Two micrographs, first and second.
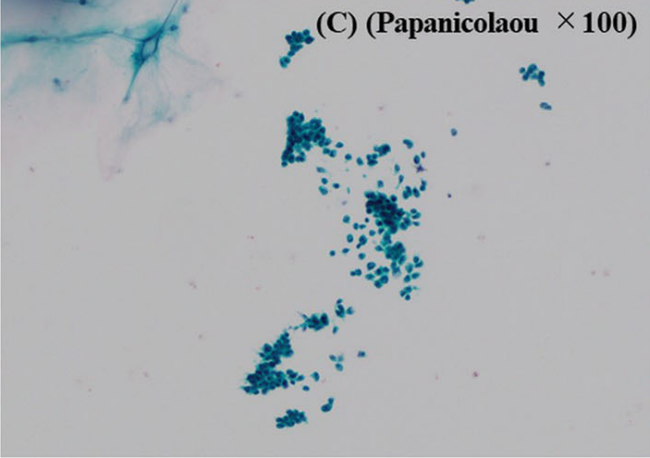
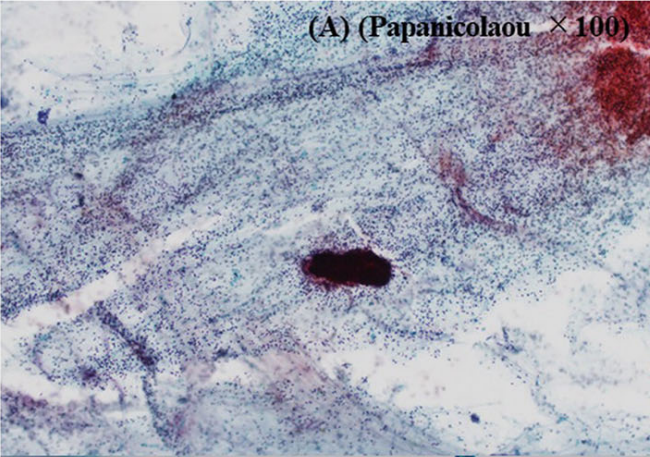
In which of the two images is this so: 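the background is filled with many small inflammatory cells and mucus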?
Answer: The second image.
